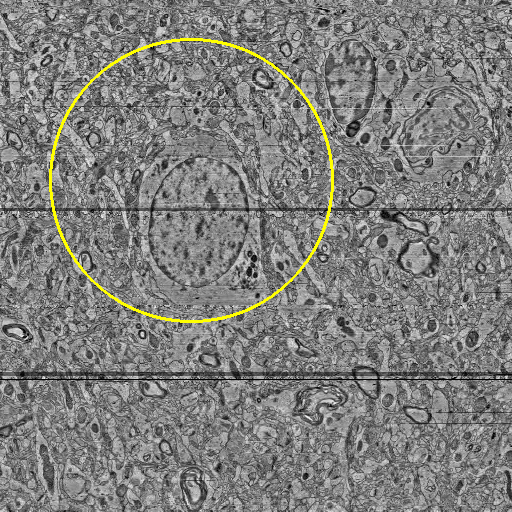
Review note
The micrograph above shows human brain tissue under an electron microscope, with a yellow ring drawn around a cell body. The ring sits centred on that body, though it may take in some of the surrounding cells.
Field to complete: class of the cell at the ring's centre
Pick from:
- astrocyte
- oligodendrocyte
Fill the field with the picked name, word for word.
astrocyte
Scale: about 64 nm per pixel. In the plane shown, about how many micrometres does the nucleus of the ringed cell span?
About 9 by 6 micrometers for the nucleus, in this plane.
